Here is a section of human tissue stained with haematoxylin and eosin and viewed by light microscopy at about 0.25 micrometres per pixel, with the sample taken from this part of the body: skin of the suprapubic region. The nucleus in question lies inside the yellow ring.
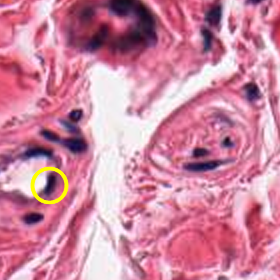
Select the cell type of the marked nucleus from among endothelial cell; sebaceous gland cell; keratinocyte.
endothelial cell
